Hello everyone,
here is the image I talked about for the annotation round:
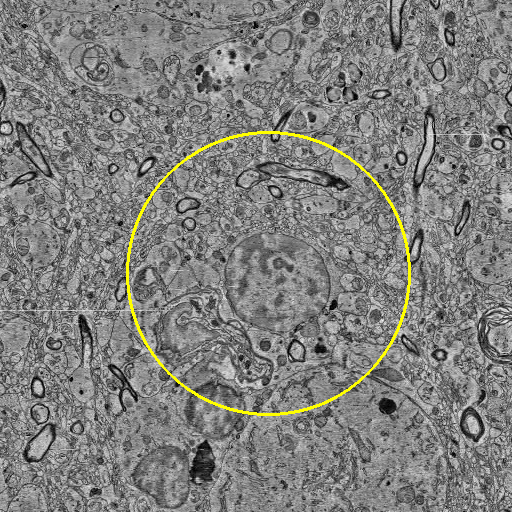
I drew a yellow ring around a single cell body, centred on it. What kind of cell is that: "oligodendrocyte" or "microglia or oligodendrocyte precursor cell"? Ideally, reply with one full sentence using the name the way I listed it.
The cell your yellow ring is centred on is an oligodendrocyte, going by your list.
